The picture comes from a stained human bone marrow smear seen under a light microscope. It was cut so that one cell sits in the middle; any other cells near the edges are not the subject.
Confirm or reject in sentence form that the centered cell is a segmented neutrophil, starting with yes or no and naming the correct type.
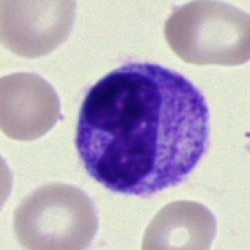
No, the central cell does not represent a segmented neutrophil, but a band neutrophil.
